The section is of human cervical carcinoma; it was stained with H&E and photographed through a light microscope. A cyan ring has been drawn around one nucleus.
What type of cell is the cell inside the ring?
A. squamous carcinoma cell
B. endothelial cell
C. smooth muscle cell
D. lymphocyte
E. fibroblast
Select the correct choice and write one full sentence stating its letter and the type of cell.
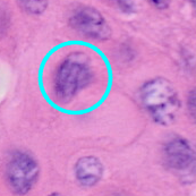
The correct option is A, and the cell inside the ring is a squamous carcinoma cell.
